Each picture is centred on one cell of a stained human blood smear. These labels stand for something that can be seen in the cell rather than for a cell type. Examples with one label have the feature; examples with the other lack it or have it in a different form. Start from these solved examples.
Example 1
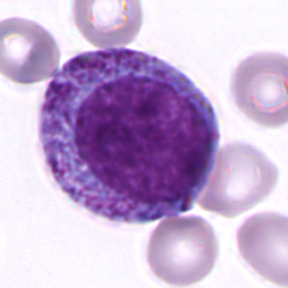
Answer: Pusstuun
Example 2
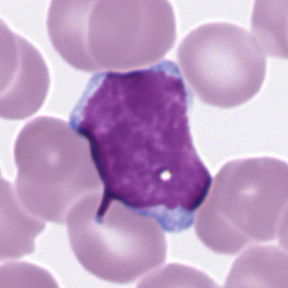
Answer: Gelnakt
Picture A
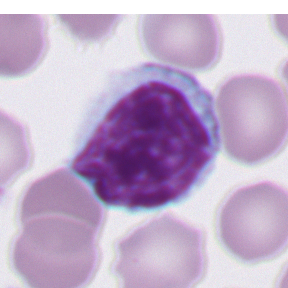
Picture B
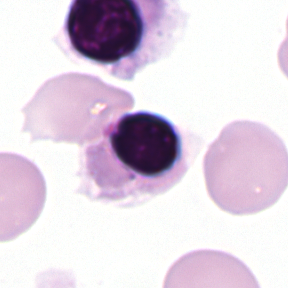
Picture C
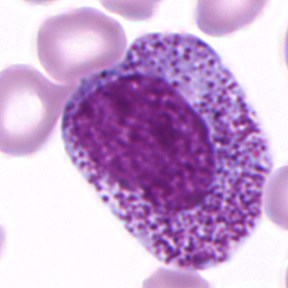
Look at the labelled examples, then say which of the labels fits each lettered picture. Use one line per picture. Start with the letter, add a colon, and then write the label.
A: Gelnakt
B: Gelnakt
C: Pusstuun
